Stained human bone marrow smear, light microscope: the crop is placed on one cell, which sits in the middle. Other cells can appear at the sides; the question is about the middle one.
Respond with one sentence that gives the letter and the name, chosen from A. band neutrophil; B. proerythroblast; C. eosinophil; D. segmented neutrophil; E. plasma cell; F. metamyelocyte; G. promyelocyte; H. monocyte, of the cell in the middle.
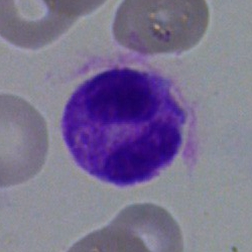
As the central cell is a segmented neutrophil, option D is correct.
